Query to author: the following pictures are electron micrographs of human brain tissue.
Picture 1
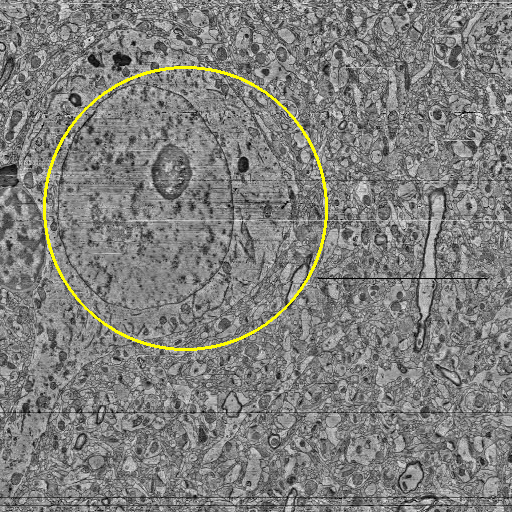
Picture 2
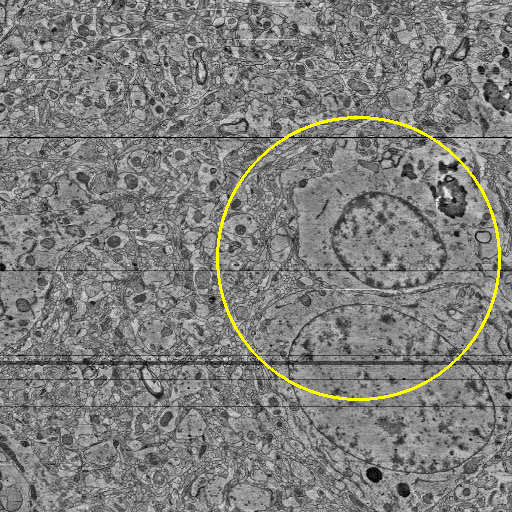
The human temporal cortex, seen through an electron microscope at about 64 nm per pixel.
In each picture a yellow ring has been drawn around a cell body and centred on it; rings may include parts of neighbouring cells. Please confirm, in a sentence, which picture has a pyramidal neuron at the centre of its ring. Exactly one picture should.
Picture 1 has it at the centre of its ring.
